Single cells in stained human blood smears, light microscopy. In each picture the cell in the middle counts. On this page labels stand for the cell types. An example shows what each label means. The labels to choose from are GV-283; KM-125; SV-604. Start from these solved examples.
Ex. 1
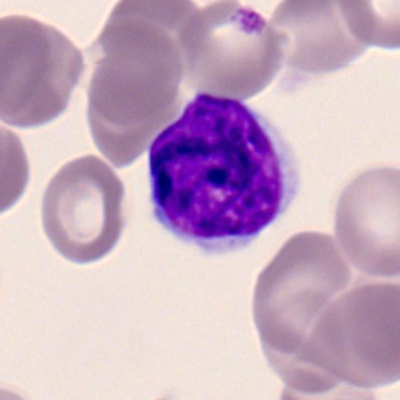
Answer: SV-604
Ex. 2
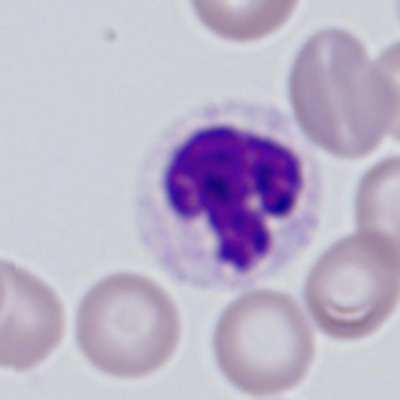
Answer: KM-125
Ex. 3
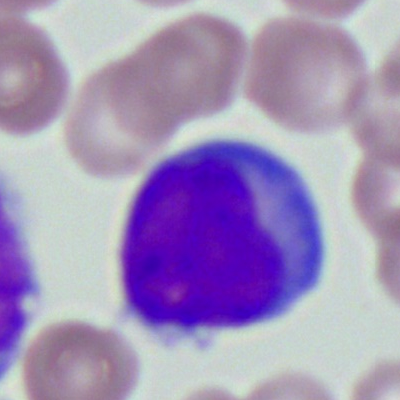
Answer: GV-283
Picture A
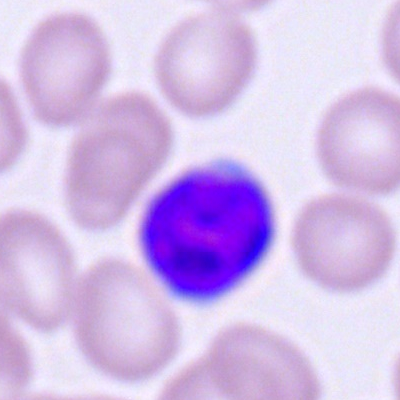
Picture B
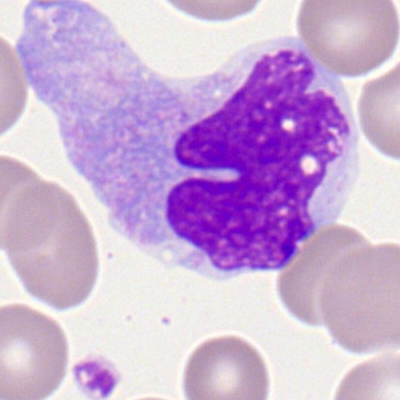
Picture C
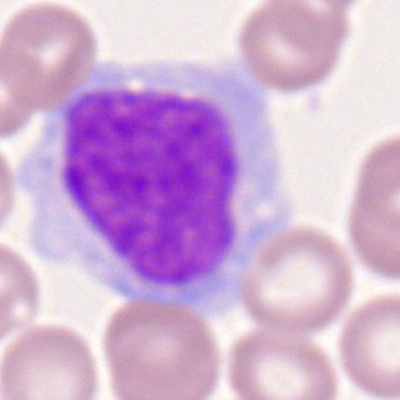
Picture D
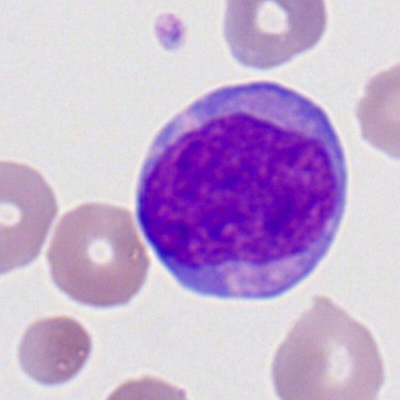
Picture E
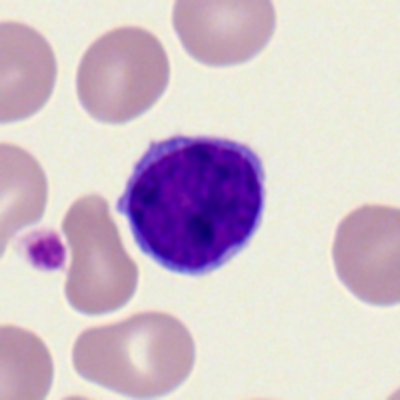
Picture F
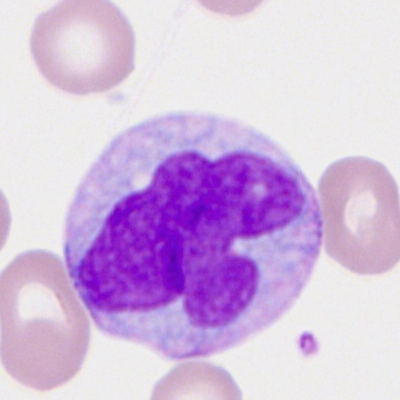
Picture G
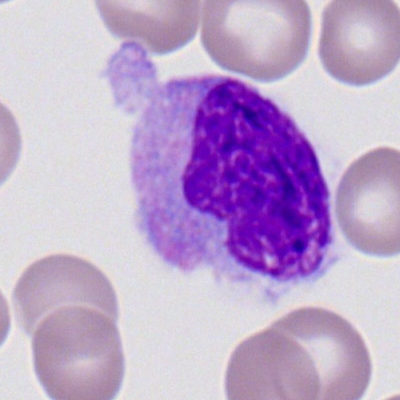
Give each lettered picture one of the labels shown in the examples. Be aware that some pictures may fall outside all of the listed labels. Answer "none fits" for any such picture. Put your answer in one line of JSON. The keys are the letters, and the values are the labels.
{"A": "SV-604", "B": "none fits", "C": "none fits", "D": "GV-283", "E": "SV-604", "F": "none fits", "G": "none fits"}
